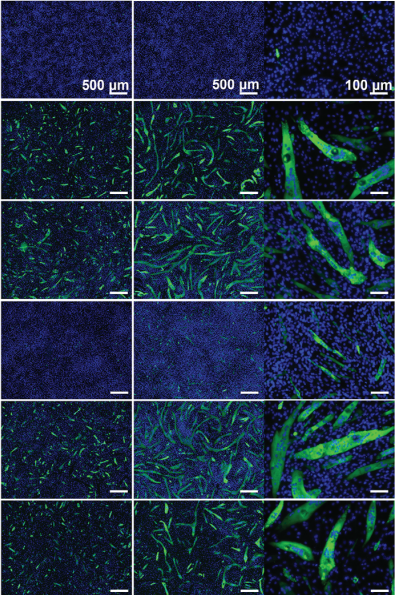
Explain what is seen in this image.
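In every tile a dense carpet of small round to oval blue nuclei covers the dish. In many rows, long green spindle- or ribbon-shaped myotubes lie scattered over this carpet, some branching or crossing one another. At higher magnification several blue nuclei are seen lined up within single green myotubes, so these are multinucleated fused cells. Some rows show only blue nuclei with almost no green, while in others the green myotubes are numerous, long and broad.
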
